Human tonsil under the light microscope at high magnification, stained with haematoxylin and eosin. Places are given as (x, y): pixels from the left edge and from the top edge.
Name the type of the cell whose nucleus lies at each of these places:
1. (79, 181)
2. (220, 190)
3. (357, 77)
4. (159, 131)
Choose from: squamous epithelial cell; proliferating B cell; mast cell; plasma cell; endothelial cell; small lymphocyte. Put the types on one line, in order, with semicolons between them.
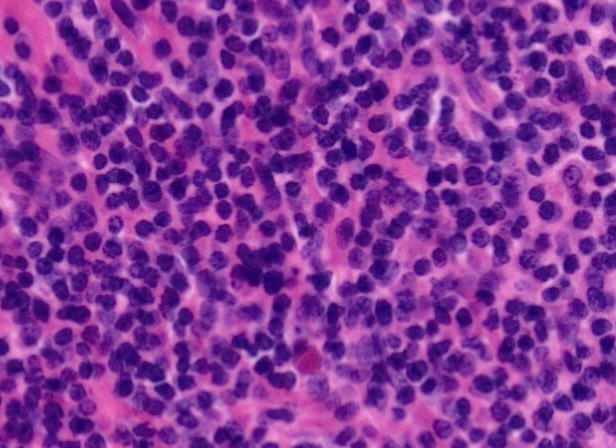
endothelial cell; small lymphocyte; small lymphocyte; small lymphocyte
